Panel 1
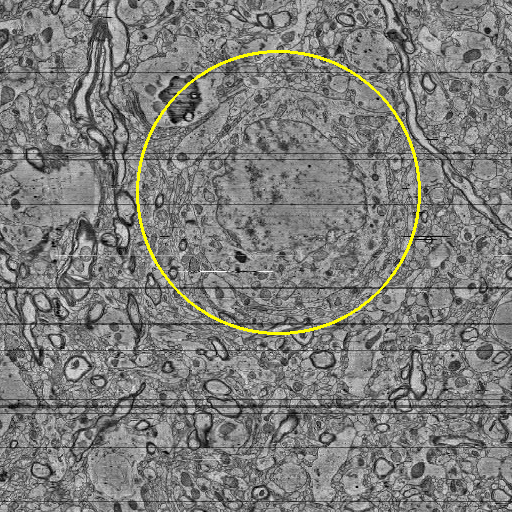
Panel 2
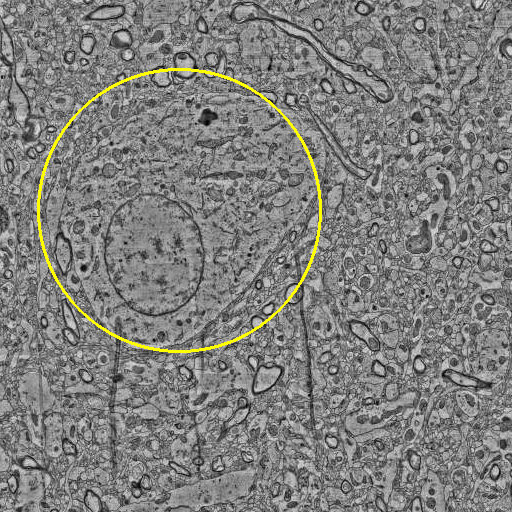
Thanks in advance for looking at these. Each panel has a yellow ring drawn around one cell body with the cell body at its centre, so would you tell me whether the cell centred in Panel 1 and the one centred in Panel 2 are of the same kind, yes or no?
yes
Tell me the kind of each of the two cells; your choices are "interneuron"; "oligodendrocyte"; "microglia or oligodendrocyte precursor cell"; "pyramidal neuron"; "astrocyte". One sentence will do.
Each of the two pictures has a pyramidal neuron at the ring centre.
